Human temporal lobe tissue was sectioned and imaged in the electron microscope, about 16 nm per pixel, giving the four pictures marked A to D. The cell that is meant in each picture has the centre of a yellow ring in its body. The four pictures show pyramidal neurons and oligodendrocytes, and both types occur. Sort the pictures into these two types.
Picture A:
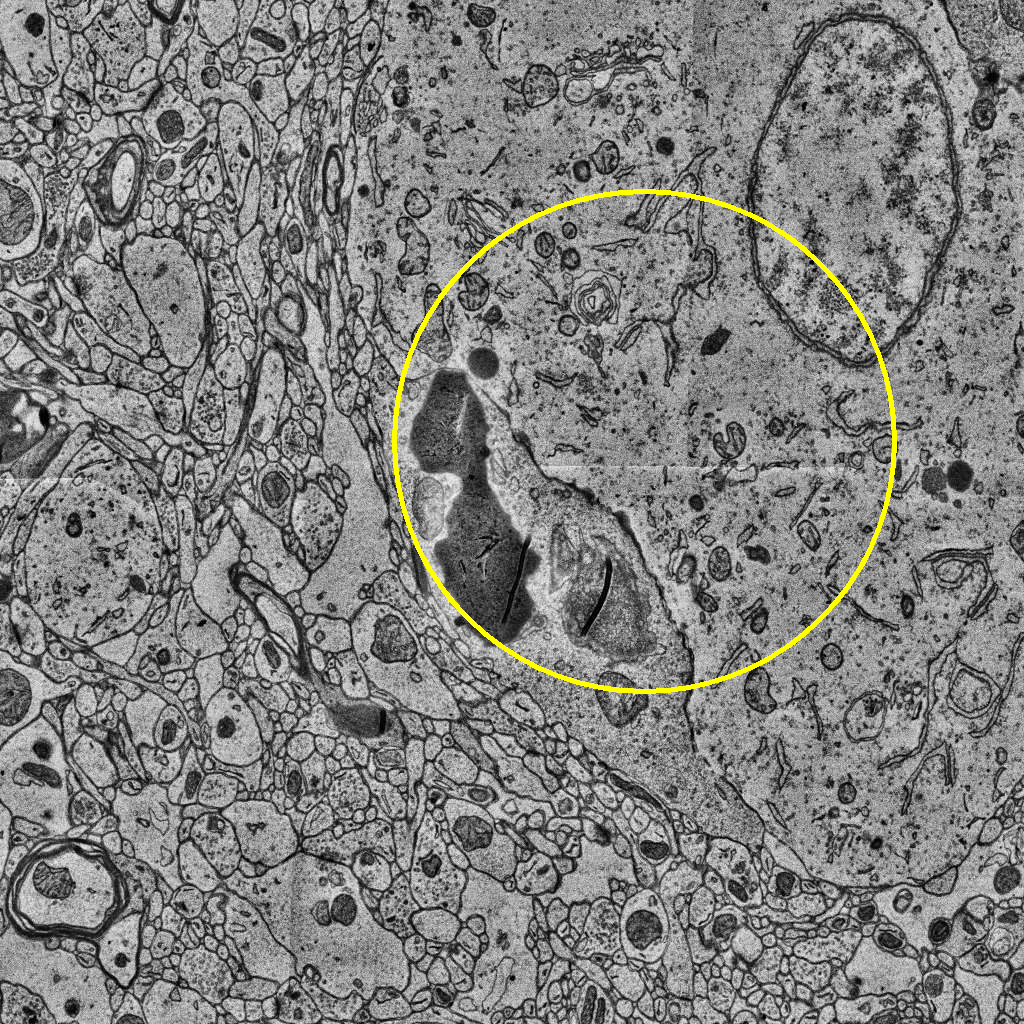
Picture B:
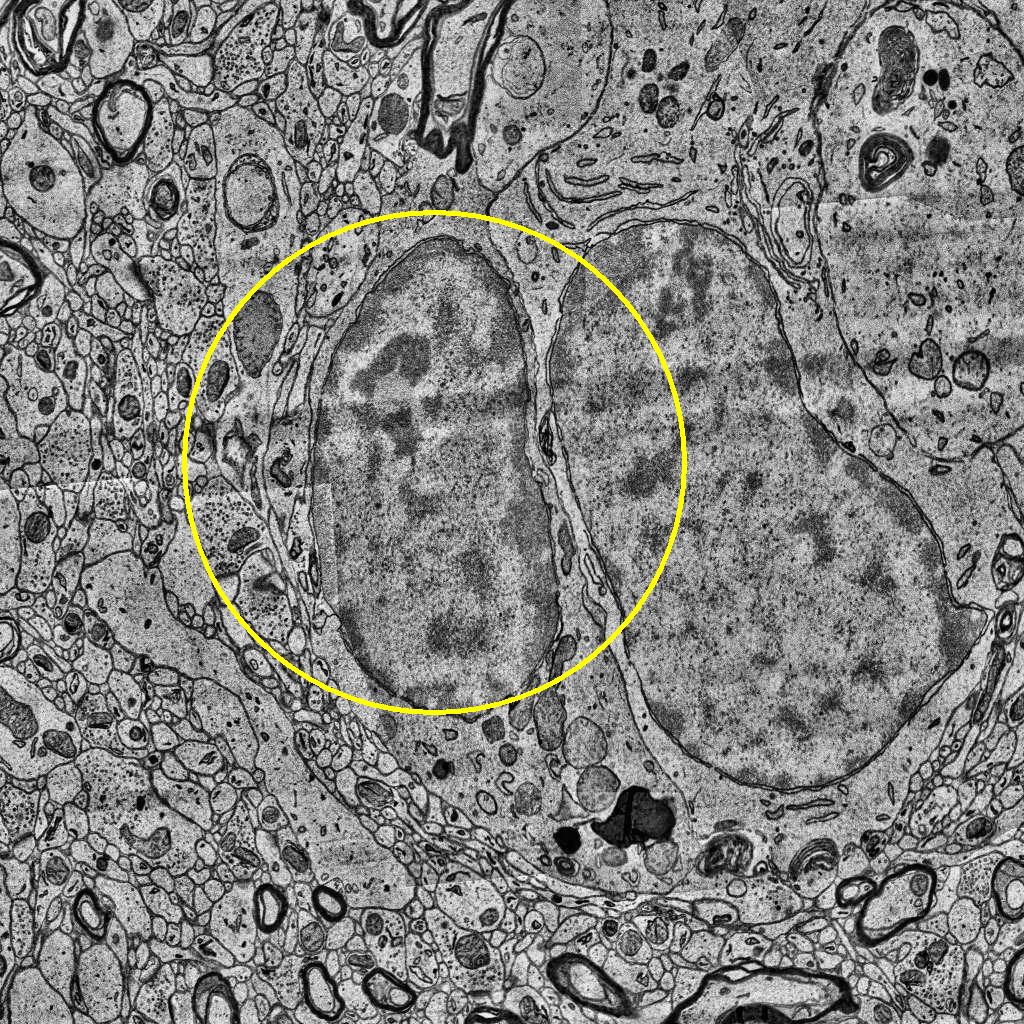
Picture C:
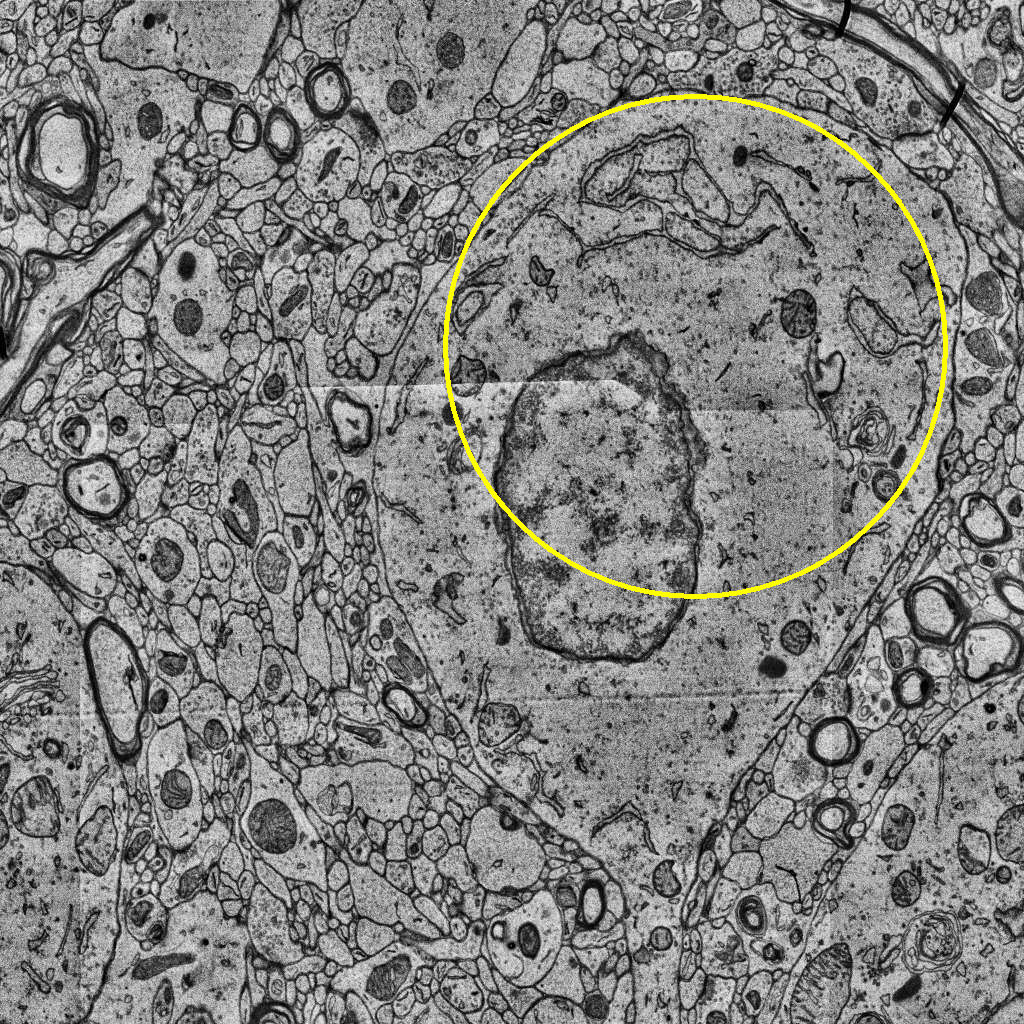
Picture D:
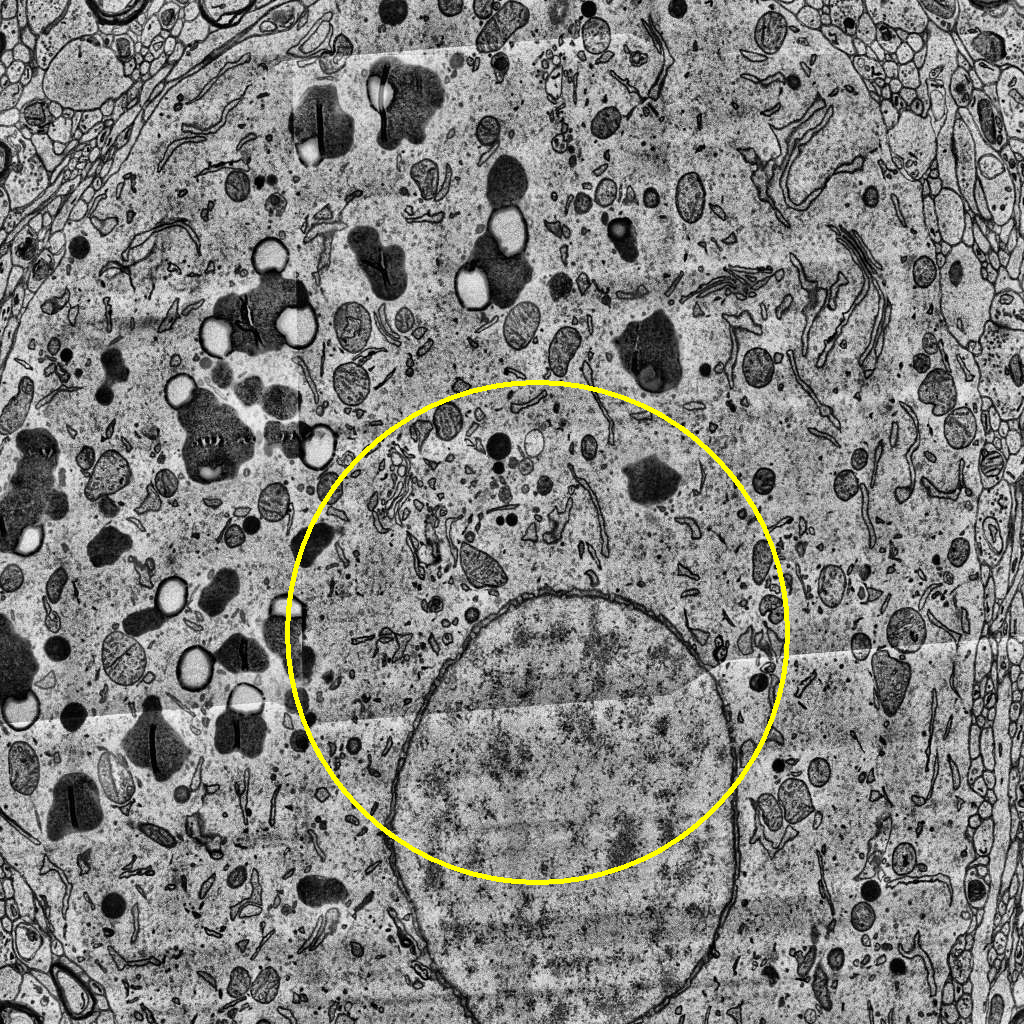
Pictures C and D show pyramidal neurons; pictures A and B show oligodendrocytes.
